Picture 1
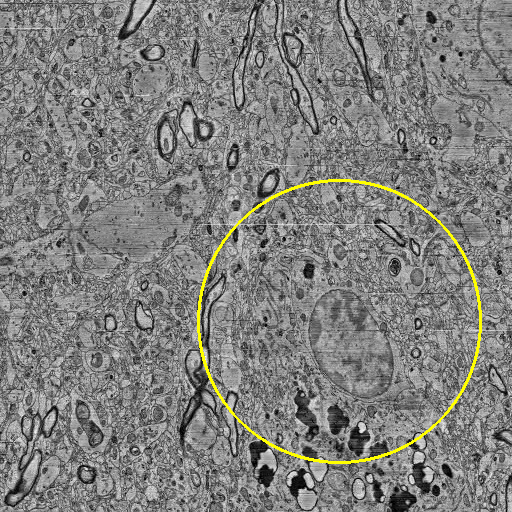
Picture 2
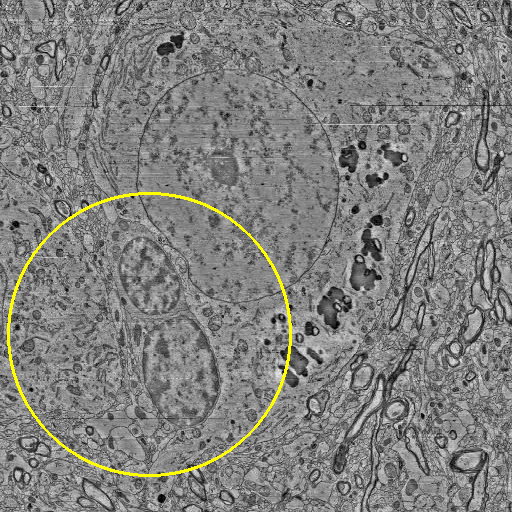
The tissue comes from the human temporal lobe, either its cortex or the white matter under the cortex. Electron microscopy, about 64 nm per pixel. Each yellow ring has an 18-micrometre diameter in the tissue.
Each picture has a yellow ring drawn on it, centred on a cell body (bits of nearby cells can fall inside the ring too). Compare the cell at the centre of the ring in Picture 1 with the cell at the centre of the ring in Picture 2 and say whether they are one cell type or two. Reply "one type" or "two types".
one type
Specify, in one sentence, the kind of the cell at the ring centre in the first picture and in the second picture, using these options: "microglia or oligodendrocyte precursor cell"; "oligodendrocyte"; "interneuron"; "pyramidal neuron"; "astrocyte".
Each one of the two ringed cells is an oligodendrocyte.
